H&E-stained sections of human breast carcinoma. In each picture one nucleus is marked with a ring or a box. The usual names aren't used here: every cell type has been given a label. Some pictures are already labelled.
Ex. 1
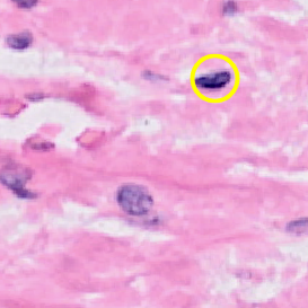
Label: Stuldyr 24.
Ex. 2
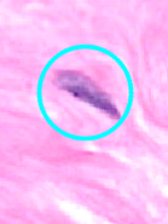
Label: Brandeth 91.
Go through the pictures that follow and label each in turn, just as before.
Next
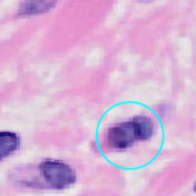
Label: Stuldyr 24.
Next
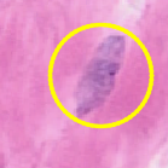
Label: Brandeth 91.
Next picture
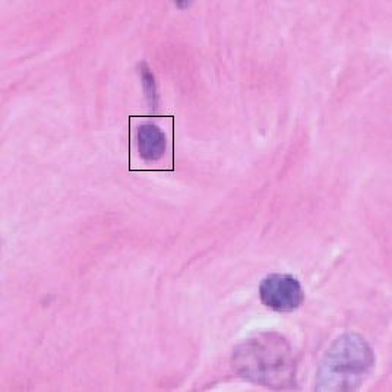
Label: Stuldyr 24.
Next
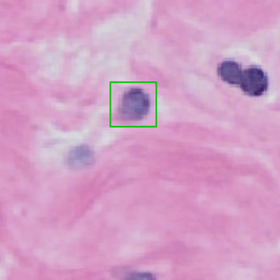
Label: Stuldyr 24.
